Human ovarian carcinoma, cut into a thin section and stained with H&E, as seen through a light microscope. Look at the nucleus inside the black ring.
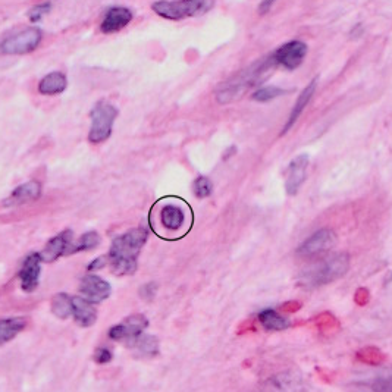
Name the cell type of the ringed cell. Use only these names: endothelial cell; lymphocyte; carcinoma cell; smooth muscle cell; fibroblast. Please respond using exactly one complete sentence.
In the tissue at hand, the ringed cell is a lymphocyte.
